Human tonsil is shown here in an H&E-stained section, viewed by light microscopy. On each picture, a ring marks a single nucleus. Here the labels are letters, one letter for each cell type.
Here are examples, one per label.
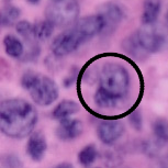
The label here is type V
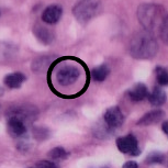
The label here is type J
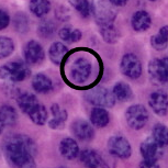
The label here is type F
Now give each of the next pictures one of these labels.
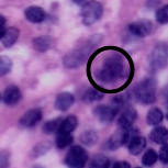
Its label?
type V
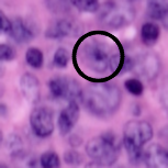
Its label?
type V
